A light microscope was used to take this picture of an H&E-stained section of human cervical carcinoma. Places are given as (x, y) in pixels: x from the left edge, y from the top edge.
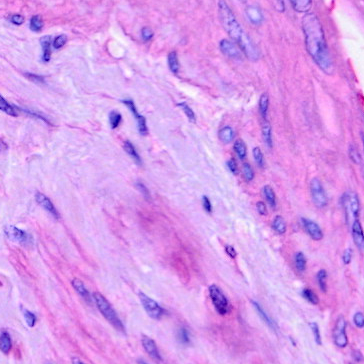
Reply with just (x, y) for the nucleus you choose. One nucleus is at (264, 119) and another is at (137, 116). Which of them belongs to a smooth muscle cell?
(264, 119)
